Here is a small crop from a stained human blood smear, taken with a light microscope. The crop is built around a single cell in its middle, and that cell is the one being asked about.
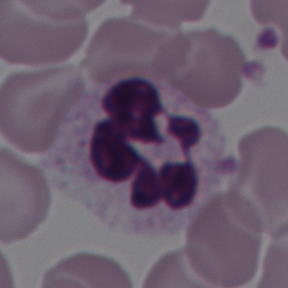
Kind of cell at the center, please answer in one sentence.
As for the cell in the middle, it is a neutrophil.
